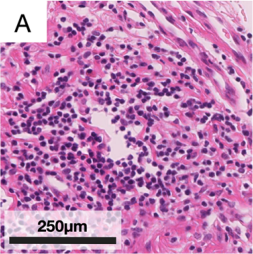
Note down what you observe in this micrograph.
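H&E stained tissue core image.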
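At low magnification, a stroma of pink, wavy fibres is crowded with many small cells bearing dark purple round nuclei. These small cells are densest around a narrow clear space near the centre, likely a small vessel. Toward the right edge the fibres are more orderly and the small dark cells thin out, leaving longer, paler spindle-shaped nuclei among the fibres. The dense collections of small dark round cells are inflammatory cells within the connective tissue.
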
